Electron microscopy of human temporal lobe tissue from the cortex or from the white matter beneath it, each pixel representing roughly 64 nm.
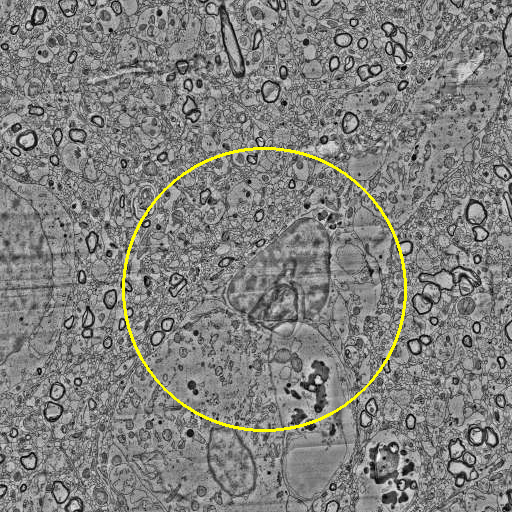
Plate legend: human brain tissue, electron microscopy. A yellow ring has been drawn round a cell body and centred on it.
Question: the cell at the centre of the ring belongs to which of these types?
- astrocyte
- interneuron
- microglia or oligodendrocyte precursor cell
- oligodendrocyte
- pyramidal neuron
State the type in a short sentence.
The cell in the middle of the ring is a microglial cell or oligodendrocyte precursor cell.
